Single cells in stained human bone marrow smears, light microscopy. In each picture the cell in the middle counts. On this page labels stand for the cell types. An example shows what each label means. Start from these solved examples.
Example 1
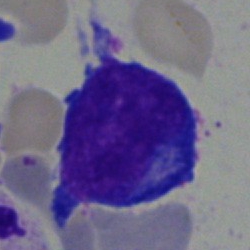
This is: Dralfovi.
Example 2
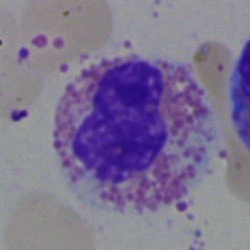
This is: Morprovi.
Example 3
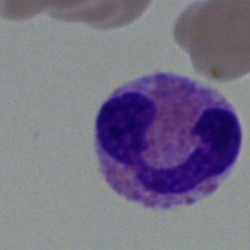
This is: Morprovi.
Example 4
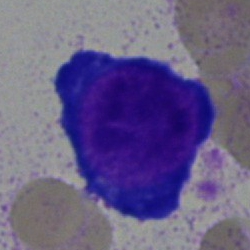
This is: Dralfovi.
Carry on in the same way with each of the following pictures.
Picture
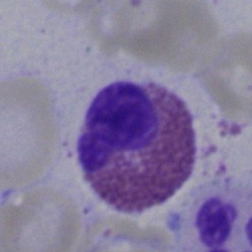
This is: Morprovi.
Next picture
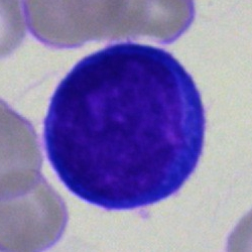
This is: Dralfovi.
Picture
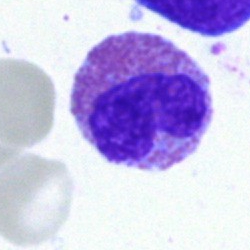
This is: Morprovi.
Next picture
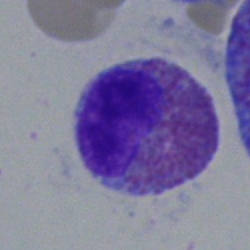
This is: Morprovi.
